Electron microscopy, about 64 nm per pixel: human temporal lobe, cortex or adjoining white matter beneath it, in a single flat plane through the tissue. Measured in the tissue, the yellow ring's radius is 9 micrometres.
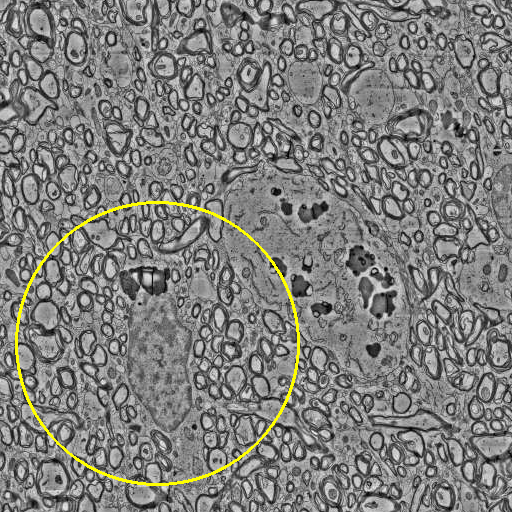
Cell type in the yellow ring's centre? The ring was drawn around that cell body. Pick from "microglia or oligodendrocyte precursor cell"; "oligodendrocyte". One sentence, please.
The ringed cell body is that of an oligodendrocyte.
